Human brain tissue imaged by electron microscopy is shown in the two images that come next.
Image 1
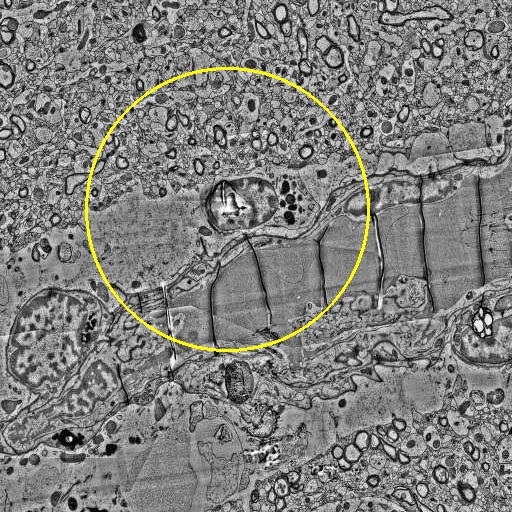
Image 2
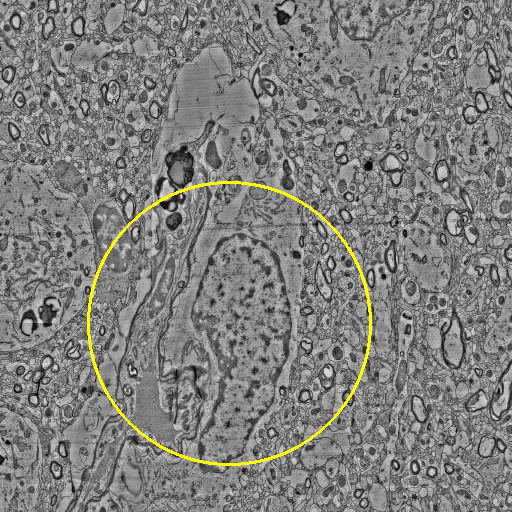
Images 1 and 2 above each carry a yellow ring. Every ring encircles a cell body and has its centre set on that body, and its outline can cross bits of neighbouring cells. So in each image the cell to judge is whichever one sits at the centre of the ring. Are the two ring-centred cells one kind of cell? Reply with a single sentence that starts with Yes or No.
Yes, in Image 1 and Image 2 the cells at the centres of their rings fall into one type.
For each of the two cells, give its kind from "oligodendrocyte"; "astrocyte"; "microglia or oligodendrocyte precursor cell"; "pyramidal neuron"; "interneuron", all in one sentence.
Each of the two rings surrounds a microglial cell or oligodendrocyte precursor cell.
